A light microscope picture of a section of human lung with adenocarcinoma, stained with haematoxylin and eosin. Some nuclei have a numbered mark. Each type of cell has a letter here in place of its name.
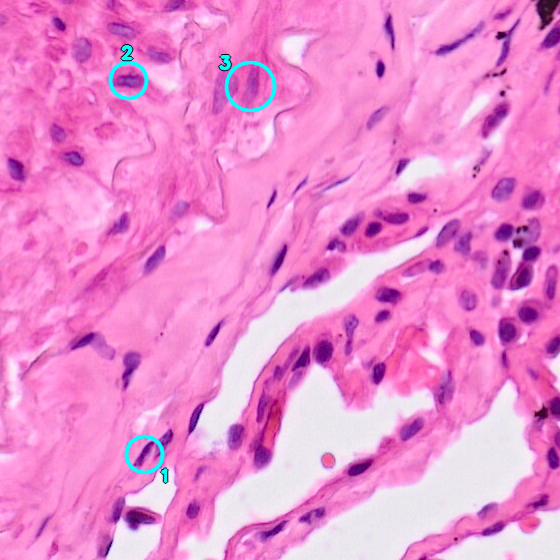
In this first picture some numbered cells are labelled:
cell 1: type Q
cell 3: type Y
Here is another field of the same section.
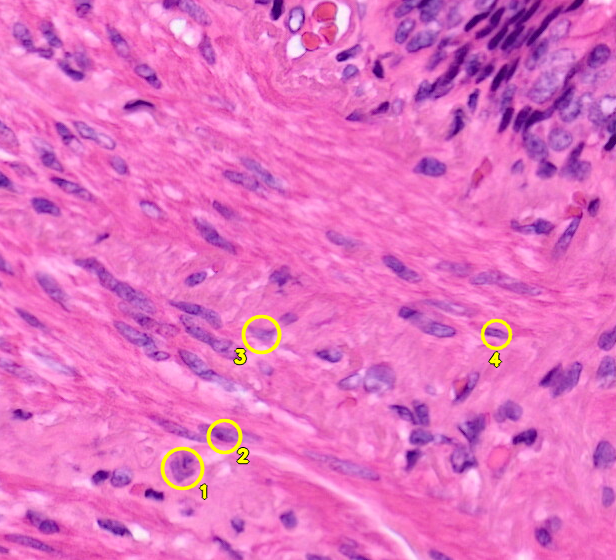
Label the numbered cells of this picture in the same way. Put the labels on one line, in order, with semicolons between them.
type Q; type Y; type Y; type Y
